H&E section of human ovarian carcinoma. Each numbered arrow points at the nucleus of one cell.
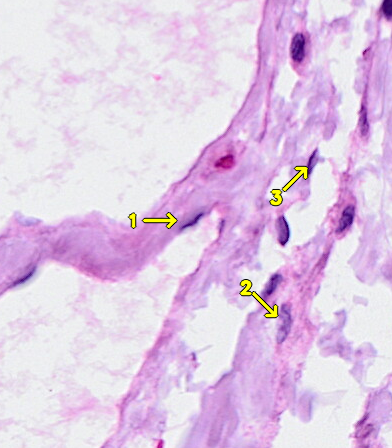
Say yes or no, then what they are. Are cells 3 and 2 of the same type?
Yes, the cells marked 3 and 2 are both fibroblasts.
